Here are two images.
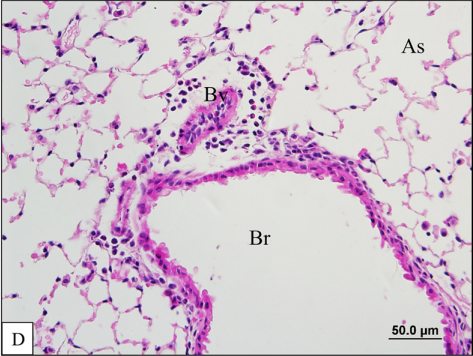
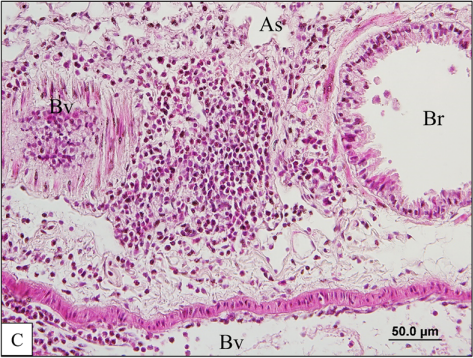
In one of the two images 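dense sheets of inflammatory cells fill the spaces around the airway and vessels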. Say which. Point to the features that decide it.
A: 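First image: only a thin cuff of dark nuclei around the vessel, alveoli open with thin walls. Second image: large masses of densely packed dark nuclei between vessels and airway. That points to this answer: the second image.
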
